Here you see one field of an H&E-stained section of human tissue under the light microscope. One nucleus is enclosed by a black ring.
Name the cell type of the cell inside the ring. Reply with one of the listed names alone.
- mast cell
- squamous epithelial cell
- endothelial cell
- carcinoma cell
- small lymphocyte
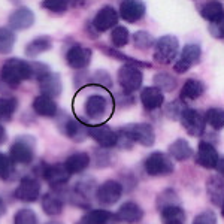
small lymphocyte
